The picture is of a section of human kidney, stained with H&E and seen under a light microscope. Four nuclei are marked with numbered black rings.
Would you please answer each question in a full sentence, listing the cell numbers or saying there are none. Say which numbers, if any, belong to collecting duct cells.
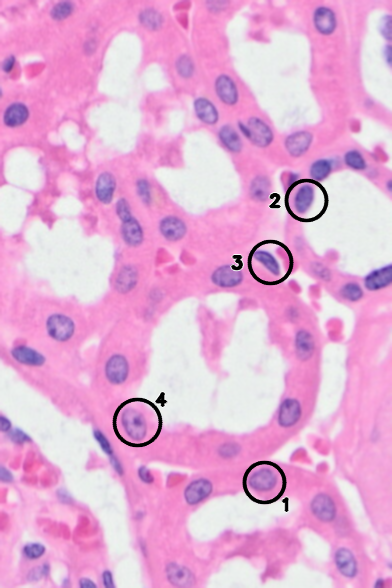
Among the numbered cells, the one that is a collecting duct cell is cell 2 alone.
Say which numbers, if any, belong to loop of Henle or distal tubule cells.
In short, loop of Henle or distal tubule cells do not occur among the numbered cells.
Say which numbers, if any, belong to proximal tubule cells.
The cells that bear the numbers 1 and 4 are proximal tubule cells.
